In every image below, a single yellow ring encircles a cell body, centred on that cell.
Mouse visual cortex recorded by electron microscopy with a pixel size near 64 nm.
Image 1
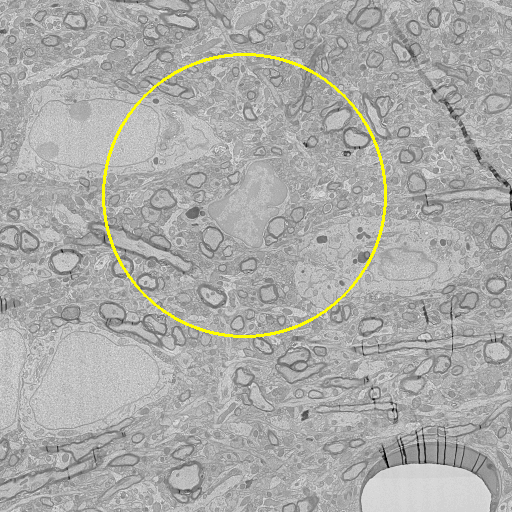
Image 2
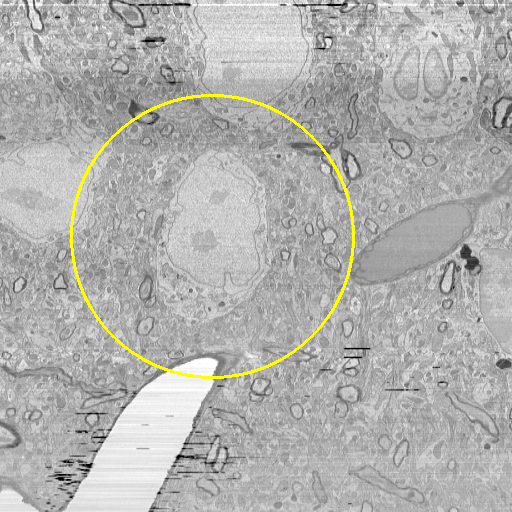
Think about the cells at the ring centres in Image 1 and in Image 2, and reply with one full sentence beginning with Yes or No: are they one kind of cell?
No, the cells centred in the rings of Image 1 and Image 2 are two kinds of cell.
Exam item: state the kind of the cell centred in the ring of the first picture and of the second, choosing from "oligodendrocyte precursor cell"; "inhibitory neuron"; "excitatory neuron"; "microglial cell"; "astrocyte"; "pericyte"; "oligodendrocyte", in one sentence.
The first picture shows a microglial cell at the ring centre and the second shows an inhibitory neuron.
